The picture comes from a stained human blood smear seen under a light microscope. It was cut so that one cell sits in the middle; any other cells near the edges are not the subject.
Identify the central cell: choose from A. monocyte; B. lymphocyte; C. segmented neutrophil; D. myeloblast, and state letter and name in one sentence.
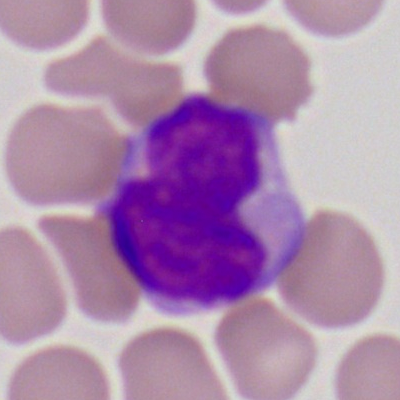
It is a myeloblast that occupies the centre of the crop, so option D is correct.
